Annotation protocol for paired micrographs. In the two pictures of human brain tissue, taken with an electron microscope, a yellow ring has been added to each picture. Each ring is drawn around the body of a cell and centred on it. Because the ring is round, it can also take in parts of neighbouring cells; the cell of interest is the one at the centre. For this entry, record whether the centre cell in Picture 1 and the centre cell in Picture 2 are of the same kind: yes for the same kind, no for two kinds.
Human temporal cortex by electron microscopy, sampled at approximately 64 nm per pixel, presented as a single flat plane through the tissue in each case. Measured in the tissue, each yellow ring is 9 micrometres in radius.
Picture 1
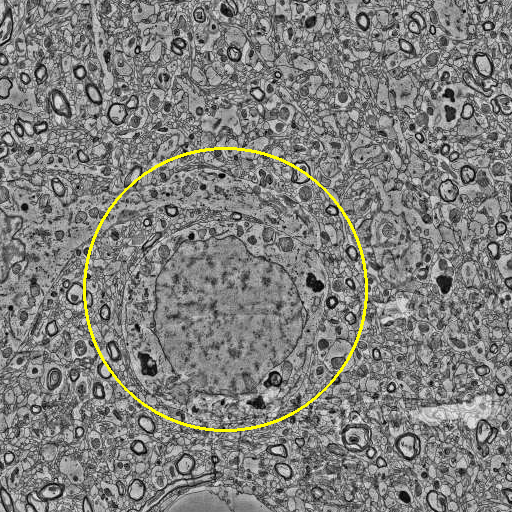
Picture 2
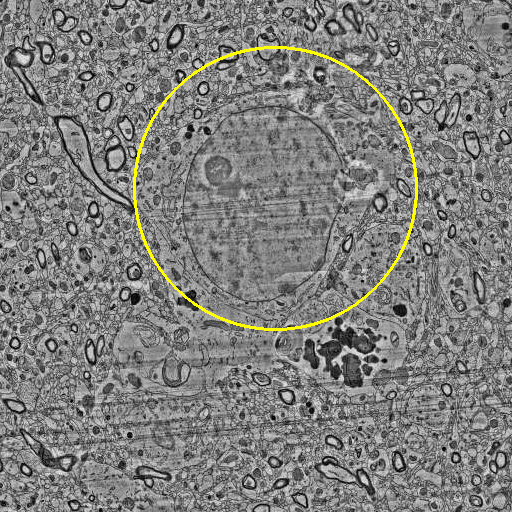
yes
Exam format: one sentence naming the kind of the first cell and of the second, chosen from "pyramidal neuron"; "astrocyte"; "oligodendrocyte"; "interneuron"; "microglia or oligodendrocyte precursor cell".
The first and the second cell are each a pyramidal neuron.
